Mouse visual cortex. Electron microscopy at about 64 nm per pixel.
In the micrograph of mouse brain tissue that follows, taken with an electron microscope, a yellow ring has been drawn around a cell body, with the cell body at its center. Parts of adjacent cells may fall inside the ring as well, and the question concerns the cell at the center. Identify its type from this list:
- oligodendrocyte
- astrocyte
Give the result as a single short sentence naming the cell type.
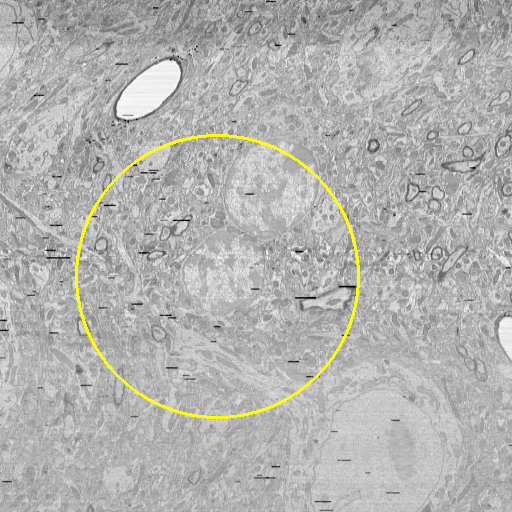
The ring is centered on an oligodendrocyte.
